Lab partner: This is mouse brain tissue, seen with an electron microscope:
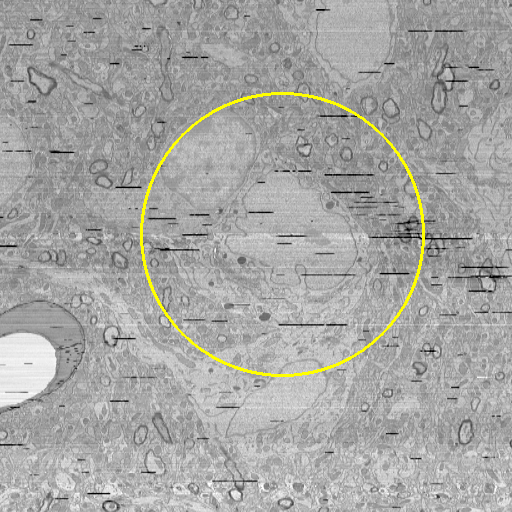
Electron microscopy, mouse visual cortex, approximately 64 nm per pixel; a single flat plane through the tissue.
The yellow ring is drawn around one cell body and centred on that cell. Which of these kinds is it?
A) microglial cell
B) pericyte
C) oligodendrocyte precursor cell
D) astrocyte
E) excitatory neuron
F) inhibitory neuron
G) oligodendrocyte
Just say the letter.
F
